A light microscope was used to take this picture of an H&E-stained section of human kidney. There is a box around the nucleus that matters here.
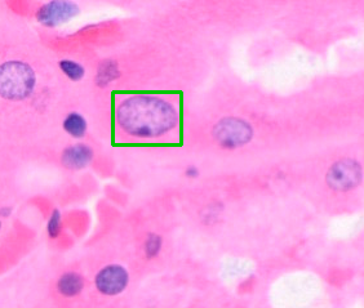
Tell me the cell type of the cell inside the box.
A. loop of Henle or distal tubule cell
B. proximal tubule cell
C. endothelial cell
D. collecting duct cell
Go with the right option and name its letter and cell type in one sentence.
The proper choice here is B: the cell inside the box is a proximal tubule cell.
